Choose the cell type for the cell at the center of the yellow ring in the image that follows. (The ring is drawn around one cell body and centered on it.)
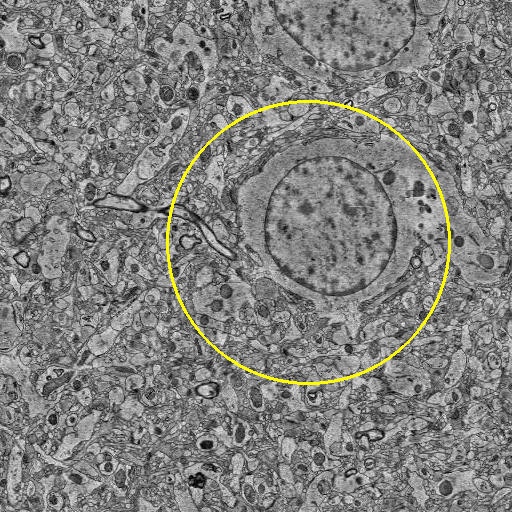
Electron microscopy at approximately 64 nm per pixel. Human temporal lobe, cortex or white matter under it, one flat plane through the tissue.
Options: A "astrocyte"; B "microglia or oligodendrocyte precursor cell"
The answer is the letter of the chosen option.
A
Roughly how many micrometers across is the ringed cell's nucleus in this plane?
In this plane, roughly 9 micrometres across.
